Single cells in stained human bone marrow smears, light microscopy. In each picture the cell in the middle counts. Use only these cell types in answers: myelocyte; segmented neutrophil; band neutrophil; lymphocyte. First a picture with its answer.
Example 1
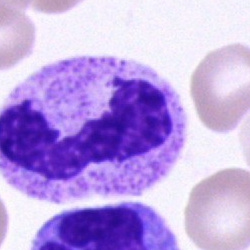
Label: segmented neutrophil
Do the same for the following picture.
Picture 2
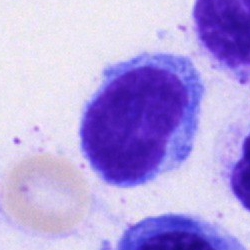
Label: lymphocyte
